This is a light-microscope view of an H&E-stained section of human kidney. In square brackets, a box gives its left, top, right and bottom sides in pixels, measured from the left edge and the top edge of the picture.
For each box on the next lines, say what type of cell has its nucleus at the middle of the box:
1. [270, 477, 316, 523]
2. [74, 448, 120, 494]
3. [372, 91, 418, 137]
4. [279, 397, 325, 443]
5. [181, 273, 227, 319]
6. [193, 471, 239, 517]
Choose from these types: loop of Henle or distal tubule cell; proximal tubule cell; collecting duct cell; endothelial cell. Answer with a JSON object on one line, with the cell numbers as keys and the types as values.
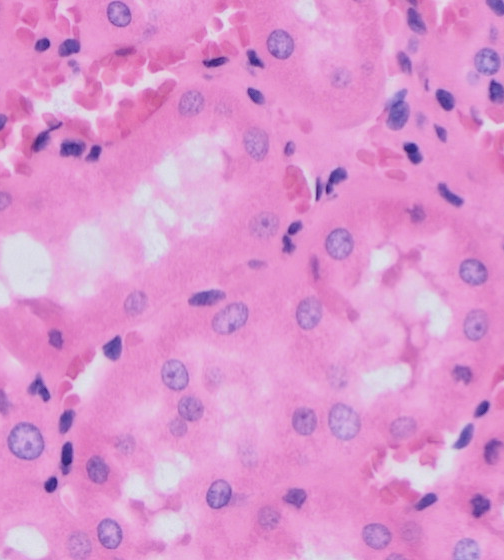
{"1": "proximal tubule cell", "2": "proximal tubule cell", "3": "endothelial cell", "4": "proximal tubule cell", "5": "endothelial cell", "6": "proximal tubule cell"}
